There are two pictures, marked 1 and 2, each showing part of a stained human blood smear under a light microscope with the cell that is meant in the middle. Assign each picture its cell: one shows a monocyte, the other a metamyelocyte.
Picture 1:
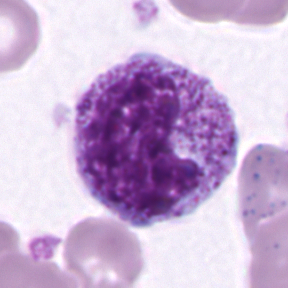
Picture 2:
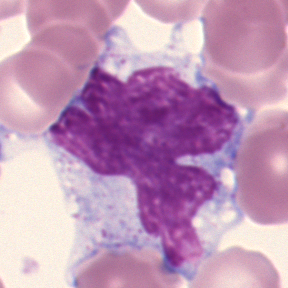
1: metamyelocyte
2: monocyte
